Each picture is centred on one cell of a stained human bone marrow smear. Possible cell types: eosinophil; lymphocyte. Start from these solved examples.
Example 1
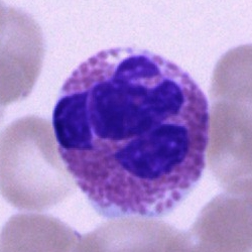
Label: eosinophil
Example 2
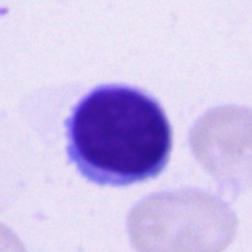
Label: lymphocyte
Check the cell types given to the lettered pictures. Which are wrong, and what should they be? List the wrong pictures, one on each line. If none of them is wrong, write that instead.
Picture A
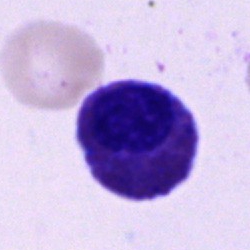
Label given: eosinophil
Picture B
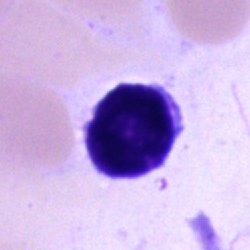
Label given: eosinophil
Wrong: B (eosinophil); correct: lymphocyte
